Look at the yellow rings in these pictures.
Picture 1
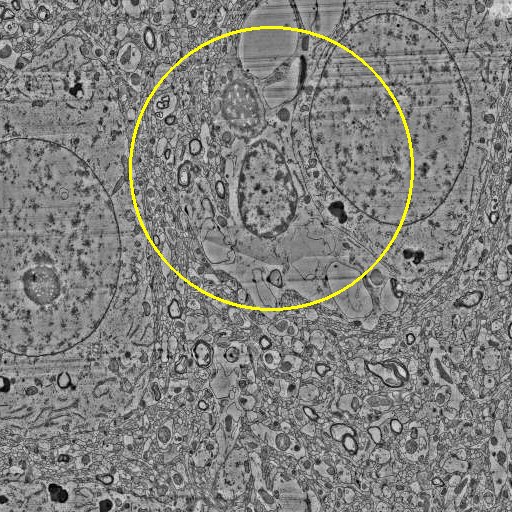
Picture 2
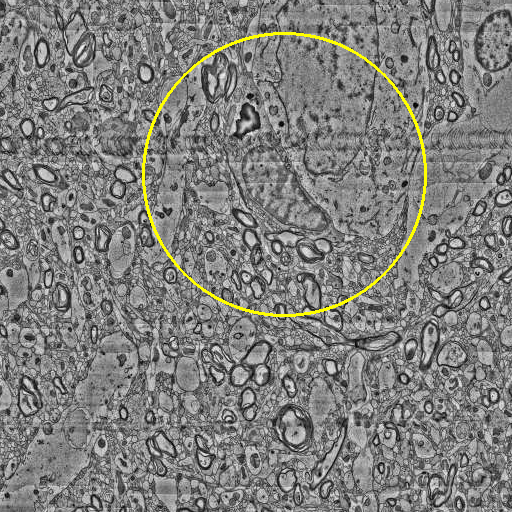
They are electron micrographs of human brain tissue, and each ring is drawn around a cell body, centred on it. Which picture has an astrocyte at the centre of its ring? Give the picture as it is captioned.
Picture 1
